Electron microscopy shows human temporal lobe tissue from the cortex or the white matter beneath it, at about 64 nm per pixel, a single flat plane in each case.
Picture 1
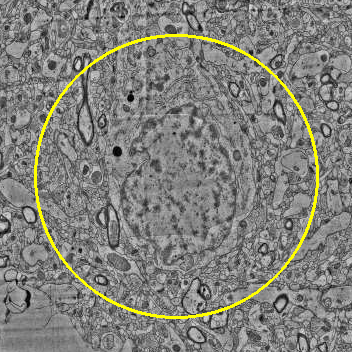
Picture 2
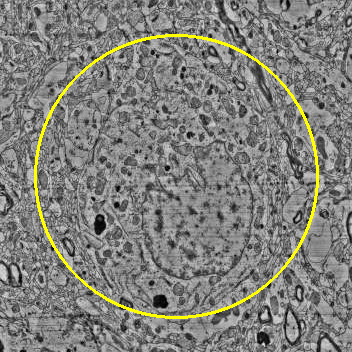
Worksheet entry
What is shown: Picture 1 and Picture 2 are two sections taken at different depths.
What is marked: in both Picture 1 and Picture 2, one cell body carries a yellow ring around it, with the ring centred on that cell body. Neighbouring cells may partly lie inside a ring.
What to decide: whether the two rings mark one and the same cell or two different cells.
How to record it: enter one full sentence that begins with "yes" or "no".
No, in this micrograph the two rings mark two different cells.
